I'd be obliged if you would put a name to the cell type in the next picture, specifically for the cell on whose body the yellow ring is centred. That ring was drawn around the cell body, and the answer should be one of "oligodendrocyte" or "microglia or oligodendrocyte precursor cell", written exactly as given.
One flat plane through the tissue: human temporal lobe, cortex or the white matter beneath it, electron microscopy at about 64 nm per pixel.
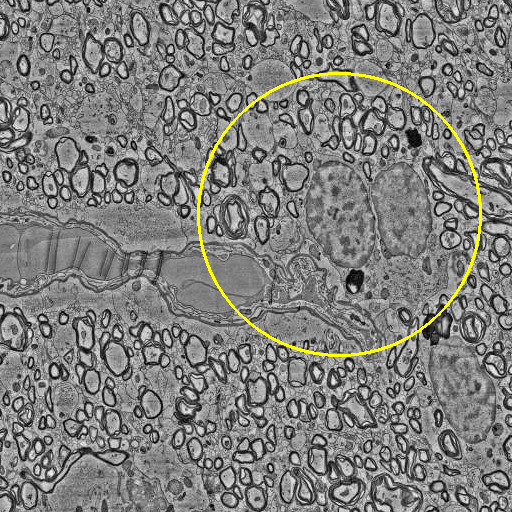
oligodendrocyte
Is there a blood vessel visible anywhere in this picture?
Yes.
